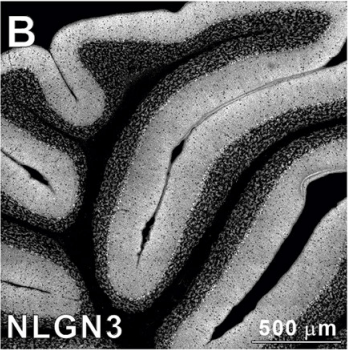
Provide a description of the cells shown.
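This is a low-power view of cerebellar folia, the leaf-like folds of the cerebellar cortex. In the middle of each fold runs a thin darker core of white matter. Adjacent folia face each other across narrow dark clefts. The staining is bright and widespread across the cortex, making the layered organisation of the folds clear at this scale.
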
